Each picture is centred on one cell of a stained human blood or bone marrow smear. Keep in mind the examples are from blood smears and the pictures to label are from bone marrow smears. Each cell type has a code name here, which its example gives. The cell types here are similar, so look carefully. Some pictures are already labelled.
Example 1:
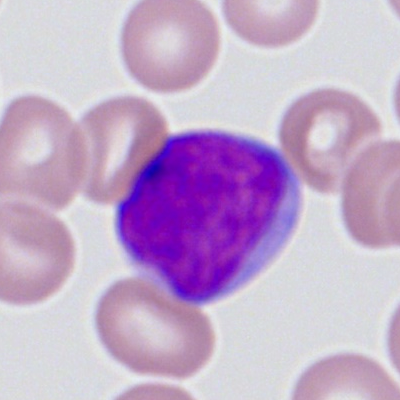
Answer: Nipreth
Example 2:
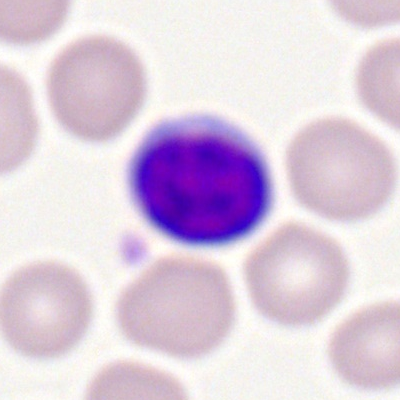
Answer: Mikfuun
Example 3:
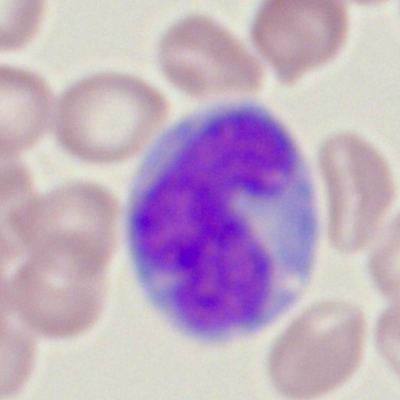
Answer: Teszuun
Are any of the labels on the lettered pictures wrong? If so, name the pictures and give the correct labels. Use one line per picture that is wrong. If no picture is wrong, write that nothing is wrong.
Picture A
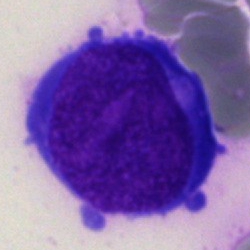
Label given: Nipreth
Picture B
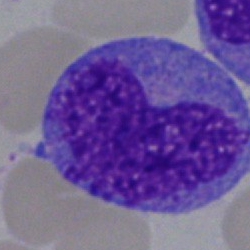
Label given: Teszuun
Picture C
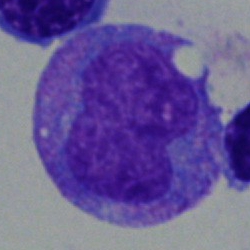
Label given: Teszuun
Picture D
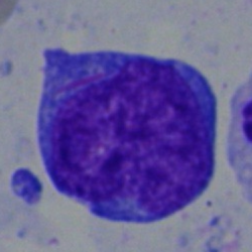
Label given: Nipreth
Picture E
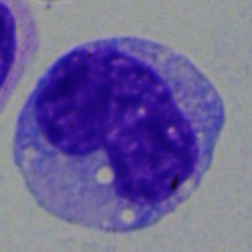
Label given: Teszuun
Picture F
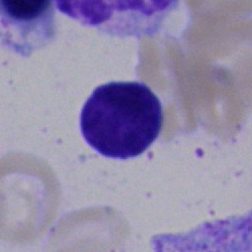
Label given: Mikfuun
No label is wrong.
